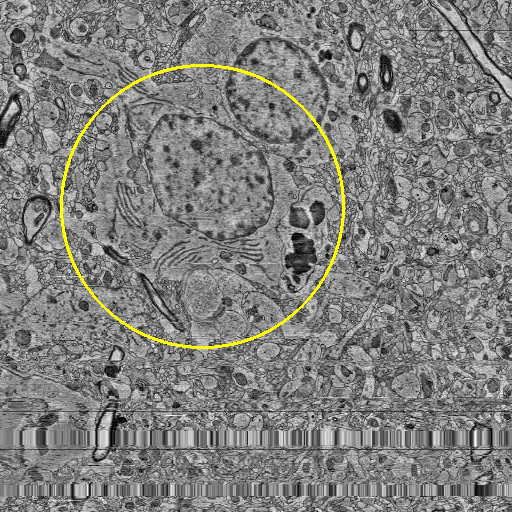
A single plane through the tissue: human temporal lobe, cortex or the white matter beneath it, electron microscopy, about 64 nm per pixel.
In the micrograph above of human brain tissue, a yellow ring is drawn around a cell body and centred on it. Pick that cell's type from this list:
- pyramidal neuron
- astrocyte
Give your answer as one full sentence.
Going by the list, an astrocyte is the cell on which the yellow ring is centred.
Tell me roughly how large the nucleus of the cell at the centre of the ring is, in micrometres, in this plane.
The nucleus works out at approximately 9 by 7 micrometres in this plane.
